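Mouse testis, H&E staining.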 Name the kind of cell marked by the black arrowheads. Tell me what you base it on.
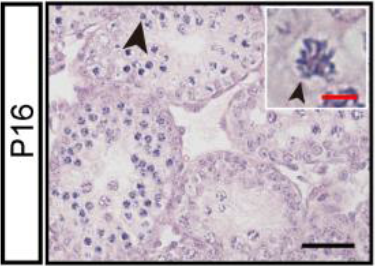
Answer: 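The arrowhead points to a large germ cell with coarse, condensed, thread-like chromatin. The inset shows a nucleus with clumped, thickened chromosome strands. On this evidence: pachytene spermatocytes.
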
